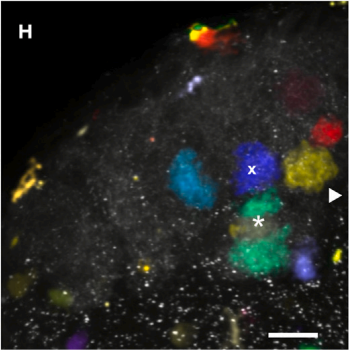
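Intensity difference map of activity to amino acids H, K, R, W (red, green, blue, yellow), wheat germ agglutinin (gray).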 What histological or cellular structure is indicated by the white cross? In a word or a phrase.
Glomeruli.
